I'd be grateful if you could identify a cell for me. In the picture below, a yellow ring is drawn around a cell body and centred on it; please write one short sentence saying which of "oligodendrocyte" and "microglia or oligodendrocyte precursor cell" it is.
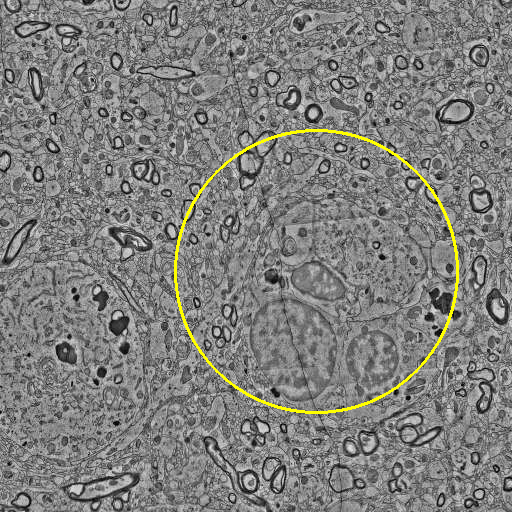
The cell under the ring's centre is a microglial cell or oligodendrocyte precursor cell.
